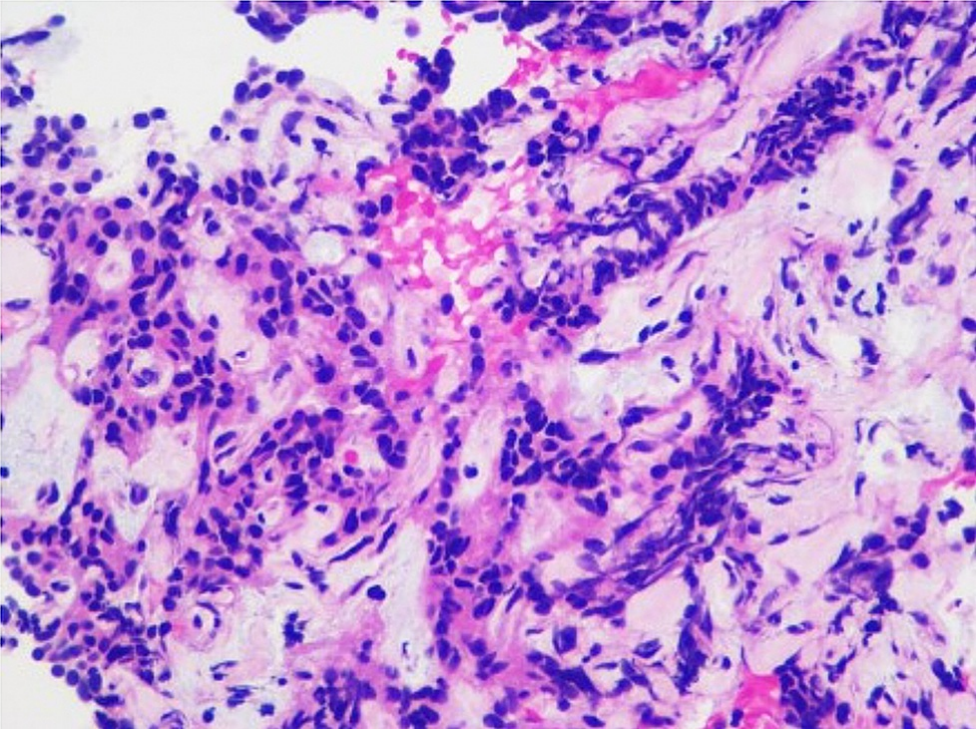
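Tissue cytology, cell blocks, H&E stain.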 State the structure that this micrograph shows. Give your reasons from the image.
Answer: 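Amorphous, myxoid, and hyaline material. Pale pink to lilac, loose, wispy material fills much of the field between the cells. Denser glassy pink areas lie among the cell clusters. Cells sit in cords and clusters next to this matrix.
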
